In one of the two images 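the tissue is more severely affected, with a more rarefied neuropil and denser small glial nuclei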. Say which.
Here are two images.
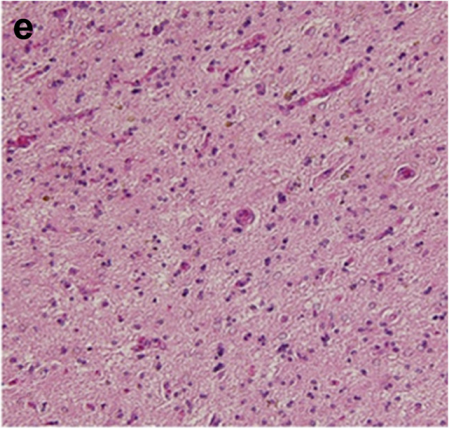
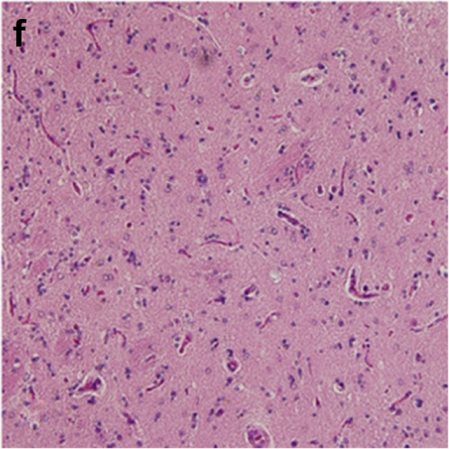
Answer: the first image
